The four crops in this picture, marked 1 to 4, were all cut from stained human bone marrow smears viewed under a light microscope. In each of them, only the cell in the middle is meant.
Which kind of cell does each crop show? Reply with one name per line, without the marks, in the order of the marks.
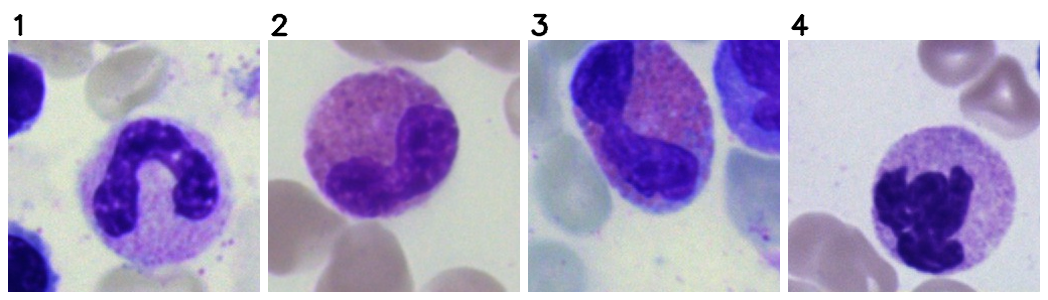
band neutrophil
eosinophil
eosinophil
segmented neutrophil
